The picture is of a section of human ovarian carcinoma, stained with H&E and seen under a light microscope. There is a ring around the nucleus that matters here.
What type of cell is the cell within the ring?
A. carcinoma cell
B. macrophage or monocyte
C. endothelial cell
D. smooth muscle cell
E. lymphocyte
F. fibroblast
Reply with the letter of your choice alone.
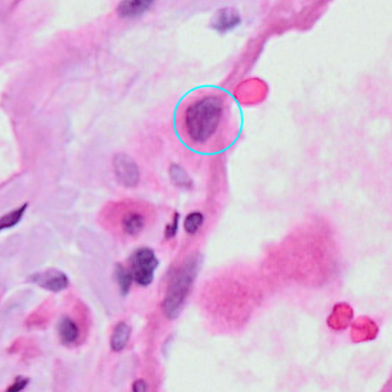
C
